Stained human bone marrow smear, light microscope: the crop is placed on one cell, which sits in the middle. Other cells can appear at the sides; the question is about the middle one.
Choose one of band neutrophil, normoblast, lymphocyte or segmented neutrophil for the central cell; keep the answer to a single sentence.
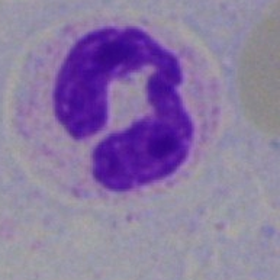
In short, the cell at the center is a segmented neutrophil.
